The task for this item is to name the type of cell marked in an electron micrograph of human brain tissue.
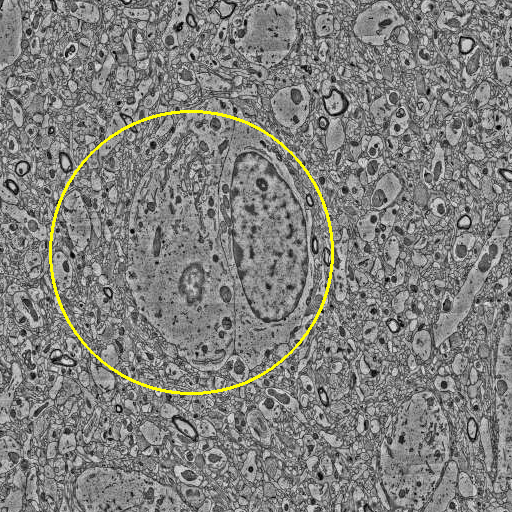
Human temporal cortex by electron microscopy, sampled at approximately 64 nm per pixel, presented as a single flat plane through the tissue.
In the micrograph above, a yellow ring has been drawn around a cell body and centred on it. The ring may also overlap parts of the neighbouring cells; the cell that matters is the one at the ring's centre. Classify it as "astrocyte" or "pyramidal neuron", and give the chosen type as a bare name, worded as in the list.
pyramidal neuron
